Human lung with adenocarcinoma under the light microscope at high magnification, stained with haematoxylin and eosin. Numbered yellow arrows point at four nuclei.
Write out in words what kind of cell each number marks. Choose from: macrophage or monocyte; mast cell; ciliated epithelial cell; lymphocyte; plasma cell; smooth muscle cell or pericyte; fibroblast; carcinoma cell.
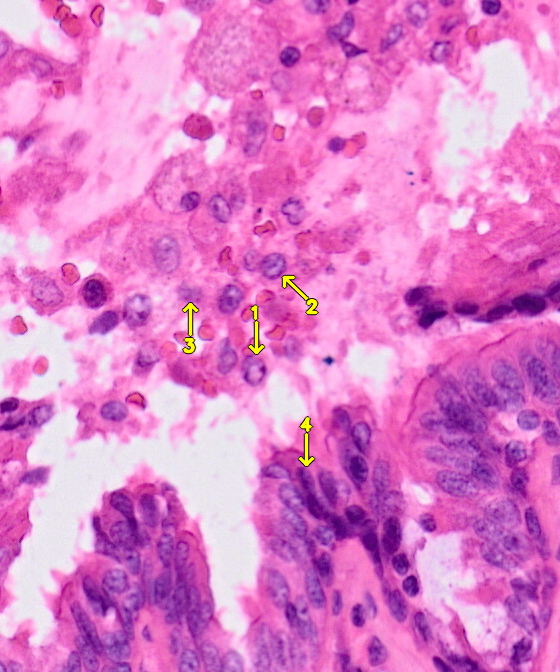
Cells 1, 2 and 3 are macrophages or monocytes. Cell 4 is a ciliated epithelial cell.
